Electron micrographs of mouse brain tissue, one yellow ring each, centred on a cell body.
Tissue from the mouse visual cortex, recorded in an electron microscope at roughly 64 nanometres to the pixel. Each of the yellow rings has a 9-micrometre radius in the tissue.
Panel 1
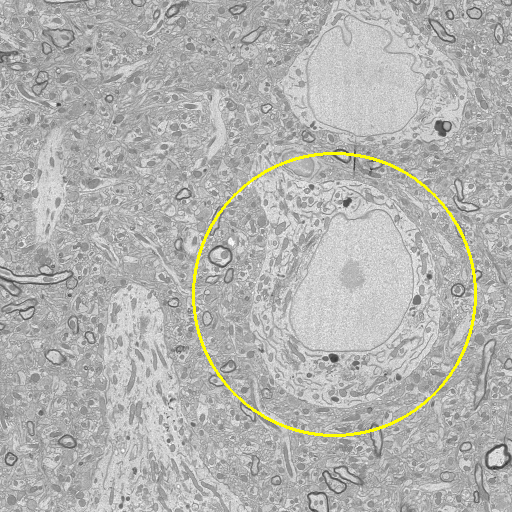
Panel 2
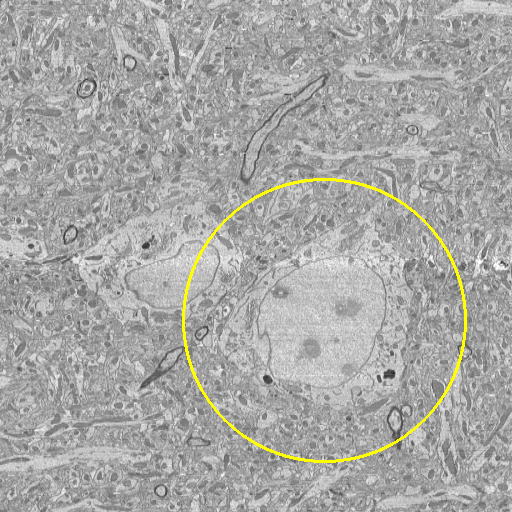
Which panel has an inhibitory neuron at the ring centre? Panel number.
1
